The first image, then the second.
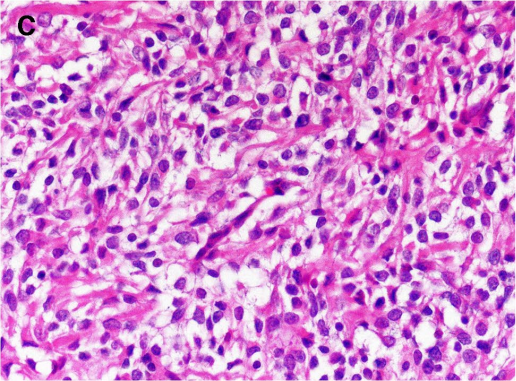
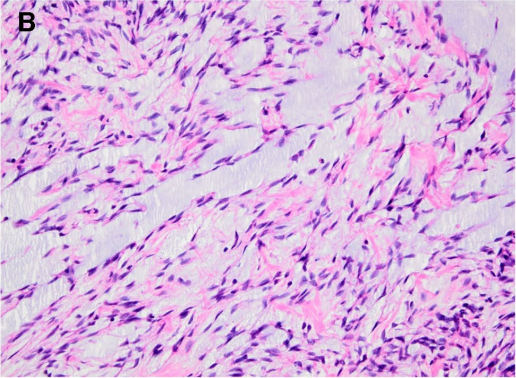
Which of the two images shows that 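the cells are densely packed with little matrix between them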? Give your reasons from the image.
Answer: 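First image: cells are crowded with scant stroma between them. So: the first image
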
